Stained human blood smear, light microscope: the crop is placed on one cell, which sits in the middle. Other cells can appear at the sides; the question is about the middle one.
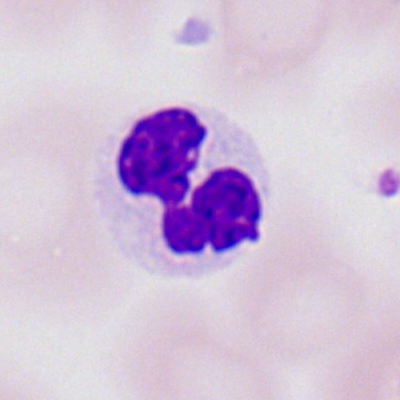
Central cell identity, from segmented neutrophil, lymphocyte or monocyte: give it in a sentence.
The cell centred in this crop is categorized as a segmented neutrophil.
